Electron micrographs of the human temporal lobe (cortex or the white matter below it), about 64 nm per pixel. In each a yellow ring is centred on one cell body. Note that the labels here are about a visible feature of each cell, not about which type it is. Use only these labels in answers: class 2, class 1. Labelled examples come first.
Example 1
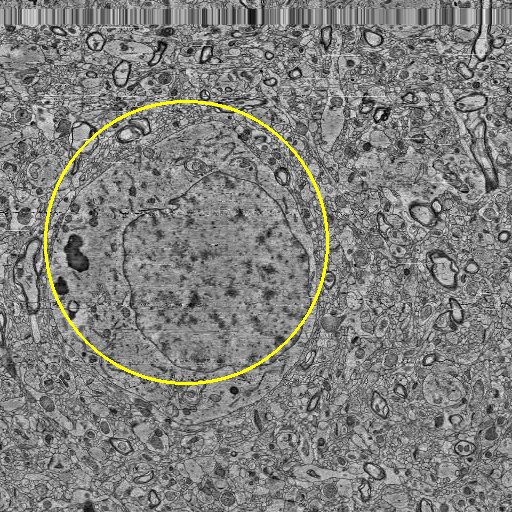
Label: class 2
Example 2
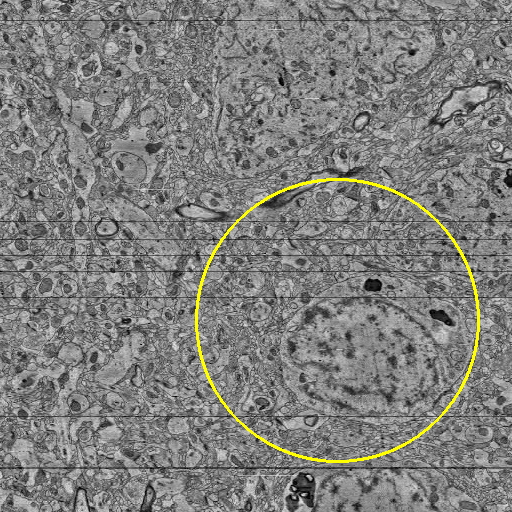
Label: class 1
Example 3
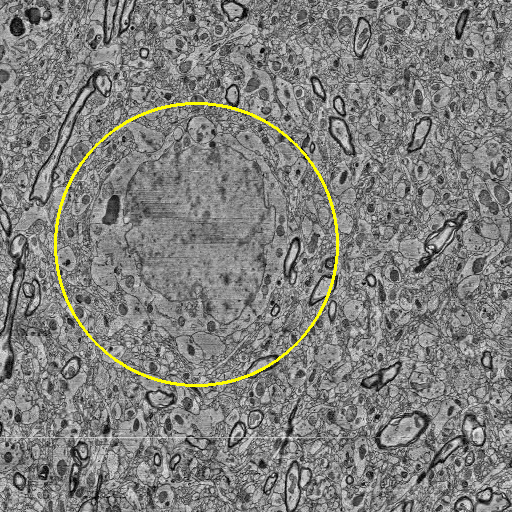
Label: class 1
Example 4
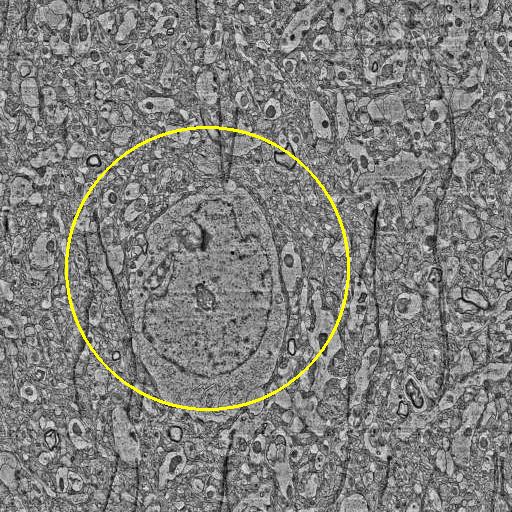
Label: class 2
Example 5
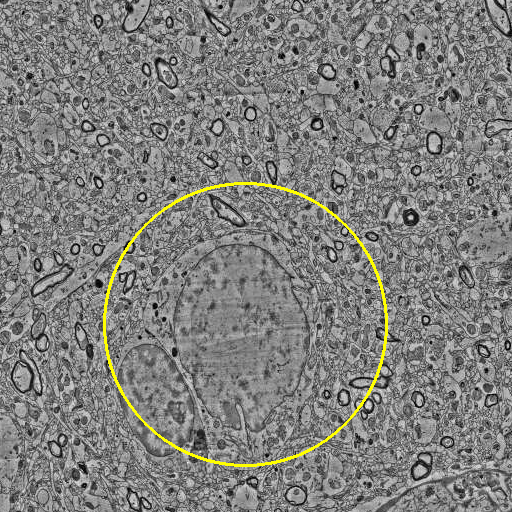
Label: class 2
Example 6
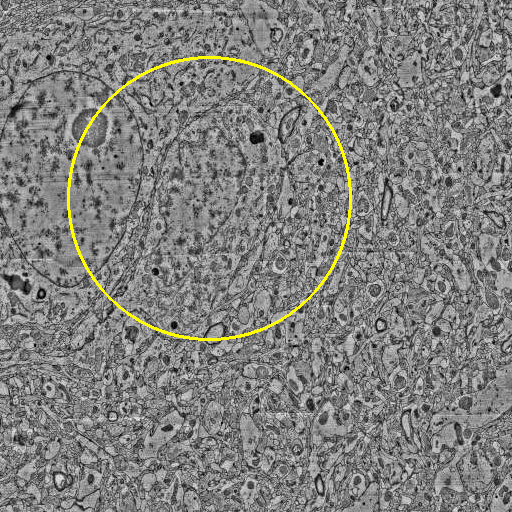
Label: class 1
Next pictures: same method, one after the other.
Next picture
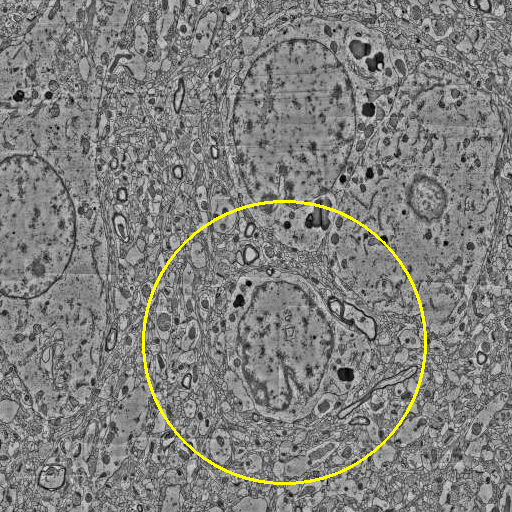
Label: class 2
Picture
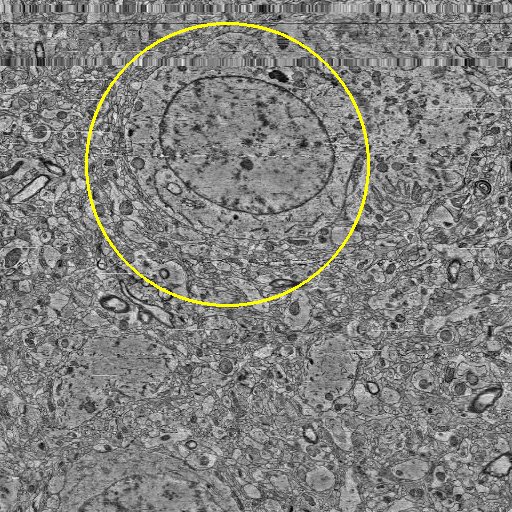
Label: class 1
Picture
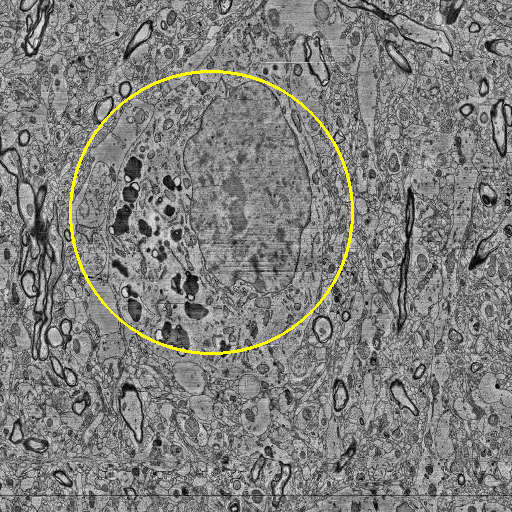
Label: class 1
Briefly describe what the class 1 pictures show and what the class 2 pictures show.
class 1, smooth nuclear envelopes without deep folds; class 2, deeply folded or indented nuclear envelopes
